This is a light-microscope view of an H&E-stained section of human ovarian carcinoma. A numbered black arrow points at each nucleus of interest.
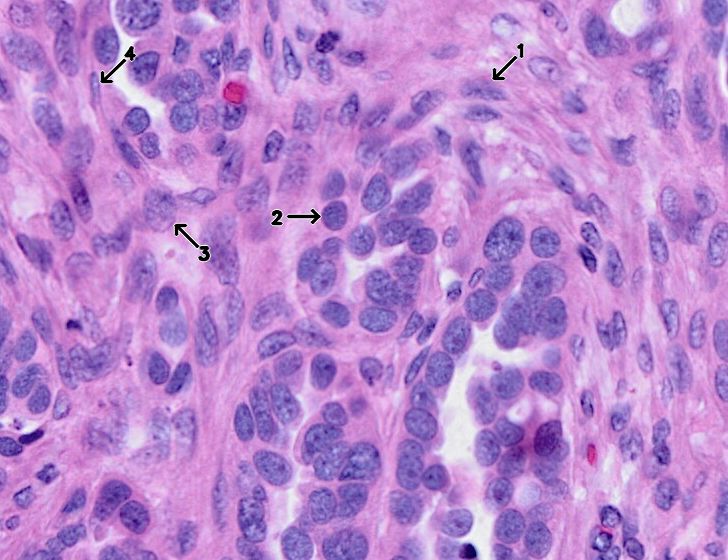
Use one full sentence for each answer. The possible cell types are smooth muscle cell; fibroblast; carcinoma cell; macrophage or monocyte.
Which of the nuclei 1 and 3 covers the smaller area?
Nucleus 1 is the smaller one; nucleus 3 covers about 2 times its area.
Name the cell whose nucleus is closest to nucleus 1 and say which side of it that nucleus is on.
The nearest nucleus is that of a fibroblast and lies below nucleus 1.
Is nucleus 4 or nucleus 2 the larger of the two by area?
Nucleus 2 is the larger one, covering about 2 times the area of nucleus 4.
